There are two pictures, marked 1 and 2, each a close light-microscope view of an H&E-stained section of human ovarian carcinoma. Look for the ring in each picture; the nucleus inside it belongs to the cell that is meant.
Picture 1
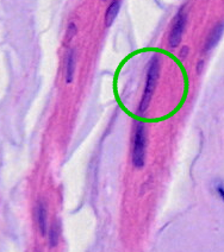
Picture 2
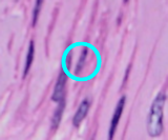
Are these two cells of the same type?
no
